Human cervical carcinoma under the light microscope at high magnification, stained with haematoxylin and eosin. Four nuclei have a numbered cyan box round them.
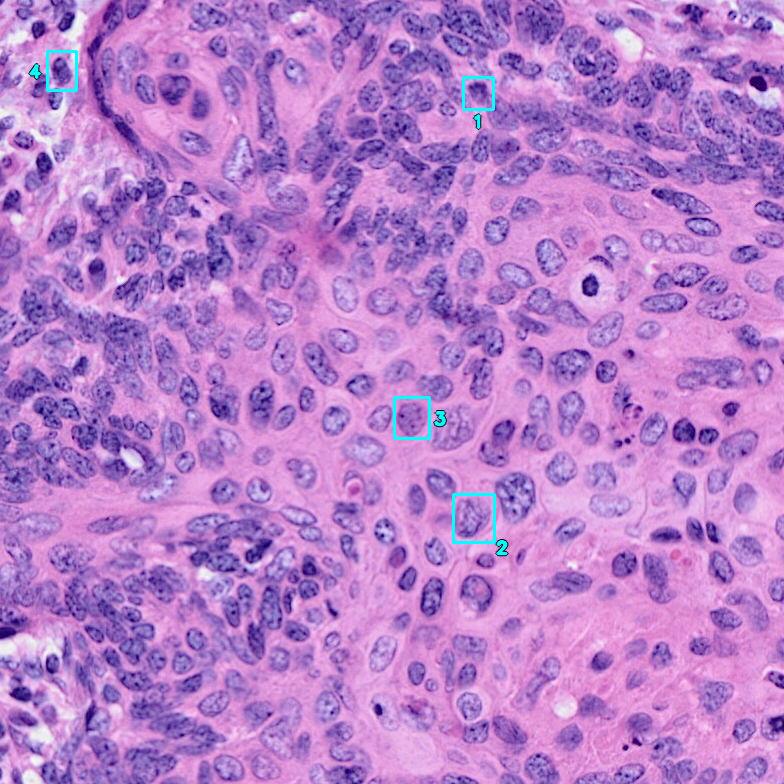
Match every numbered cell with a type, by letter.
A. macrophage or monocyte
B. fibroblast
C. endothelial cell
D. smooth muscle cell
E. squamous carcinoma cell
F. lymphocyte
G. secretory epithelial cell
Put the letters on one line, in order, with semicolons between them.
E; E; E; F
